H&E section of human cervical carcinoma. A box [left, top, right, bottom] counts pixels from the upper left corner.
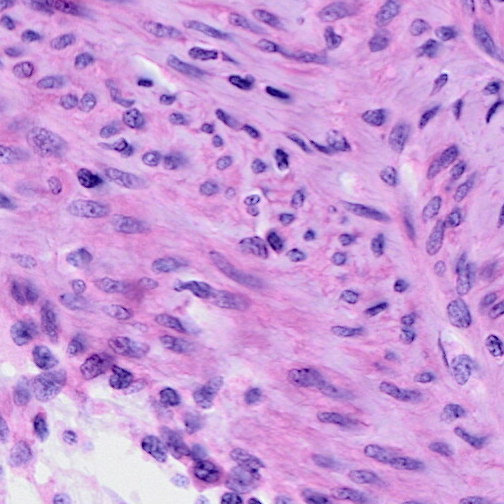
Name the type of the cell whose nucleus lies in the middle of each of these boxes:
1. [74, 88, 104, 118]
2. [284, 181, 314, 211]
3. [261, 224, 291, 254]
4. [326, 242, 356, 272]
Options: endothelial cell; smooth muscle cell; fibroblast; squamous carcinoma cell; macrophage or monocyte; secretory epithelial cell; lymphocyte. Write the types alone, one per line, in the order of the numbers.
smooth muscle cell
smooth muscle cell
lymphocyte
smooth muscle cell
